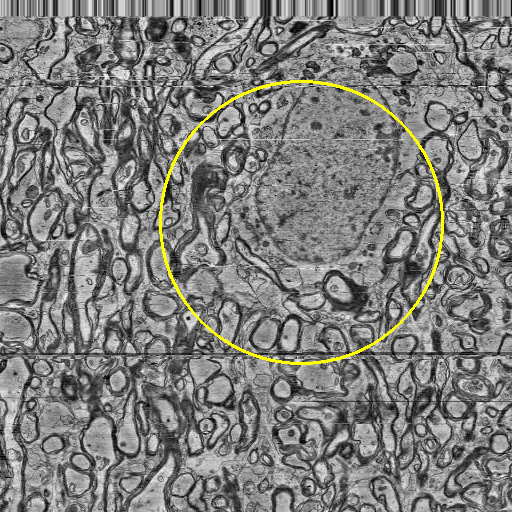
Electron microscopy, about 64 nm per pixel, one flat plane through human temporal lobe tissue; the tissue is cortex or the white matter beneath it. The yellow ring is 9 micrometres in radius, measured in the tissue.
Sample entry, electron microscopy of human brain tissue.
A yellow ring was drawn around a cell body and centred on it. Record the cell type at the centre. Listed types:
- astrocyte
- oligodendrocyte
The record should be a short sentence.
The cell at the ring's centre is an astrocyte.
